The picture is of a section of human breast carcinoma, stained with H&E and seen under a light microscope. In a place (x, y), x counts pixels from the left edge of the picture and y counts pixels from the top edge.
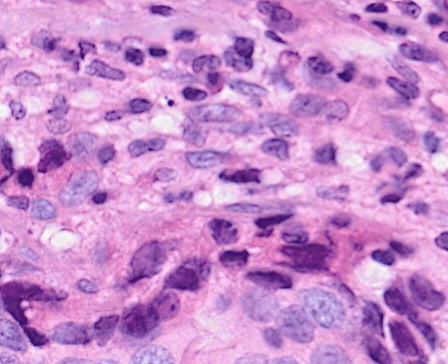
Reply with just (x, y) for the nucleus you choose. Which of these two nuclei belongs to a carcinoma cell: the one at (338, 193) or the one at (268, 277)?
(268, 277)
